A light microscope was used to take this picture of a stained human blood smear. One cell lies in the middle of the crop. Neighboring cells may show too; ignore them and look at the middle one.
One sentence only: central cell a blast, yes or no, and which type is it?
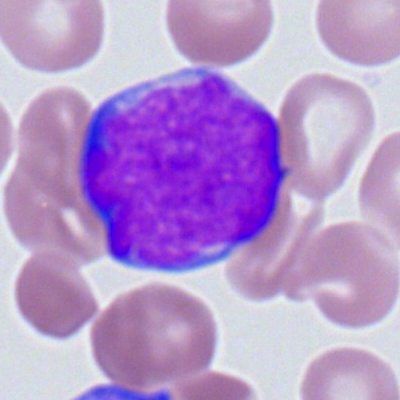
Yes, it is a blast that occupies the centre of the crop.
